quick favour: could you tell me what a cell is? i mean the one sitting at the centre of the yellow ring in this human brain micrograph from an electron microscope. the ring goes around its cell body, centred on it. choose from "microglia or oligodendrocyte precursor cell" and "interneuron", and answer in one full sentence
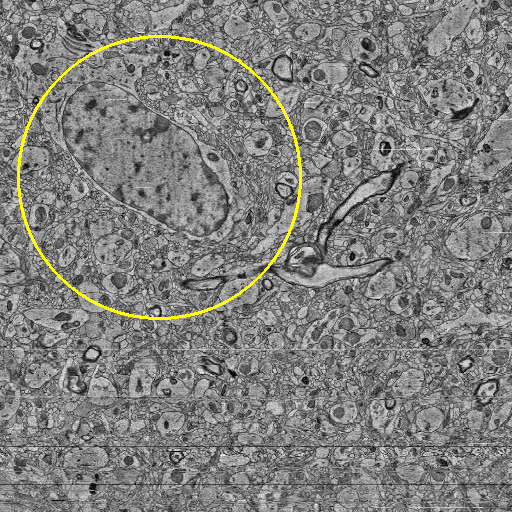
That's a microglial cell or oligodendrocyte precursor cell, the cell sitting at the centre of the yellow ring.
